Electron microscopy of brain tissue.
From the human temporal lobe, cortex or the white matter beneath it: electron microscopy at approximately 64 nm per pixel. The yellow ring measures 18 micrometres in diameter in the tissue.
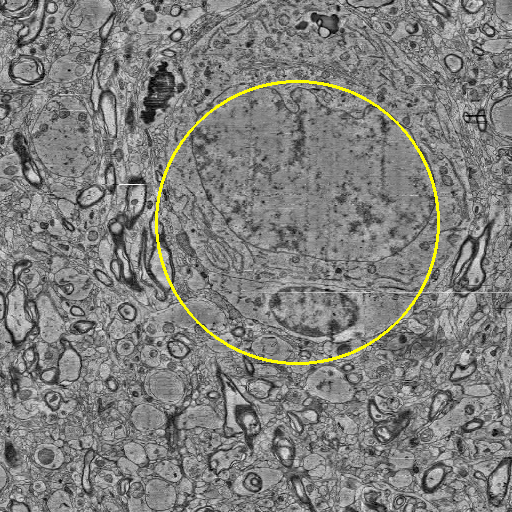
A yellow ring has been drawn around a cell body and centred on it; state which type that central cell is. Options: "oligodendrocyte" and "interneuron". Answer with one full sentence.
The cell at the middle of the yellow ring is an interneuron in this picture.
